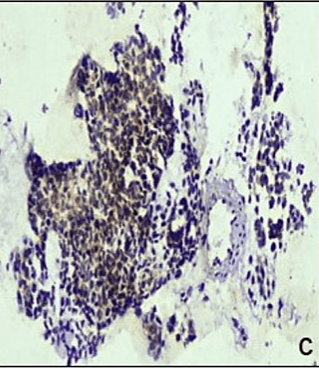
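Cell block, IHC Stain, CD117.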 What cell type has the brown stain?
Tumor cells.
